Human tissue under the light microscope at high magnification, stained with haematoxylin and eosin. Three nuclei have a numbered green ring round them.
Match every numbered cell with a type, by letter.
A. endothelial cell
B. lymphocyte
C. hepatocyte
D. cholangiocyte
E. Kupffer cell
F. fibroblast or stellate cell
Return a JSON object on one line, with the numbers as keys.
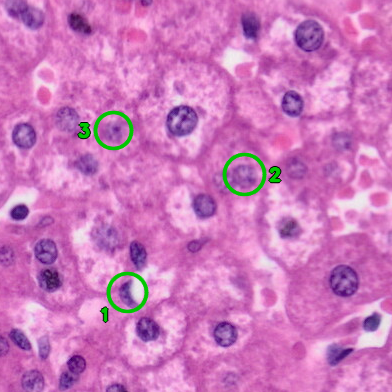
{"1": "A", "2": "C", "3": "C"}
